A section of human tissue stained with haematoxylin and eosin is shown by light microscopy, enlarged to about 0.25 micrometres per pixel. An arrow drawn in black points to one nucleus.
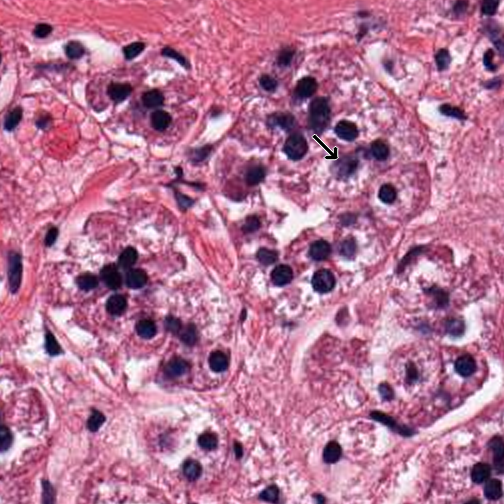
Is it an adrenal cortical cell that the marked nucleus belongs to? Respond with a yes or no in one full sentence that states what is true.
Yes, the marked nucleus is present within an adrenal cortical cell.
